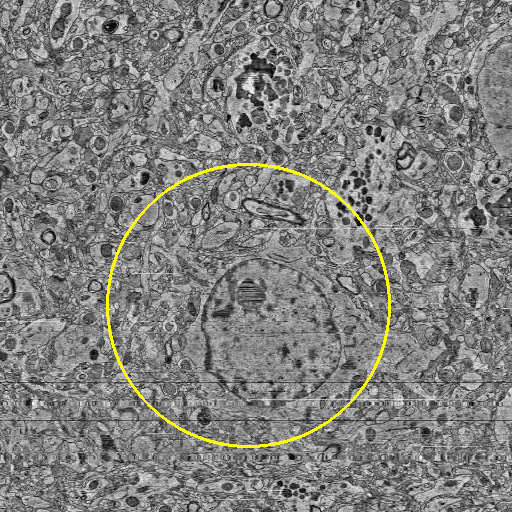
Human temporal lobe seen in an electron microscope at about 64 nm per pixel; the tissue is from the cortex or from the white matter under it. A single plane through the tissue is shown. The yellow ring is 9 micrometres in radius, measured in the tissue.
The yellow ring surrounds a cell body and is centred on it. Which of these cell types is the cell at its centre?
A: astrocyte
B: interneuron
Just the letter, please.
A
